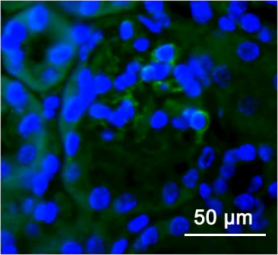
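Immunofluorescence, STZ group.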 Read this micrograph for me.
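This is a section of kidney tissue with a round tuft of cells surrounded by tubules. Here the green label is sparse: only a few small loops and short lines are left in one part of the tuft, and most of it shows no bright green. Blue nuclei are scattered through the tuft and along the tubule walls. The tubules carry the same faint green haze as the background.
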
